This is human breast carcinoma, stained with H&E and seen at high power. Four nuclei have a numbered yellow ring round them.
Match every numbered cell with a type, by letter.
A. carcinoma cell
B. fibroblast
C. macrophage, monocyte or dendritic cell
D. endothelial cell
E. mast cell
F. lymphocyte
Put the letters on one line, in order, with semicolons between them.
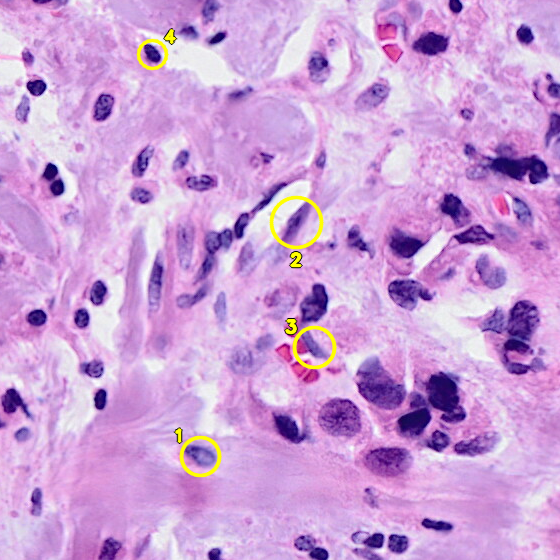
E; B; D; F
